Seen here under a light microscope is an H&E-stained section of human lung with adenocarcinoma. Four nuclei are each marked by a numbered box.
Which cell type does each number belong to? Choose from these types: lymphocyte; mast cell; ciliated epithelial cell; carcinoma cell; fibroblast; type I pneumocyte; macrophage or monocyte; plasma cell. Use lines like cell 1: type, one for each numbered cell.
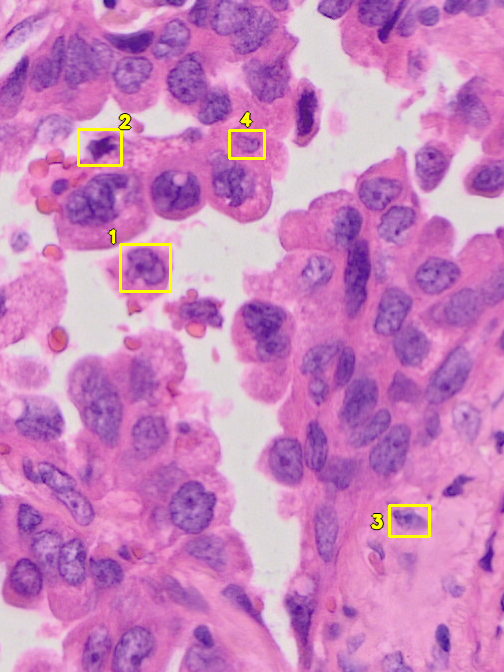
cell 1: carcinoma cell
cell 2: carcinoma cell
cell 3: fibroblast
cell 4: carcinoma cell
